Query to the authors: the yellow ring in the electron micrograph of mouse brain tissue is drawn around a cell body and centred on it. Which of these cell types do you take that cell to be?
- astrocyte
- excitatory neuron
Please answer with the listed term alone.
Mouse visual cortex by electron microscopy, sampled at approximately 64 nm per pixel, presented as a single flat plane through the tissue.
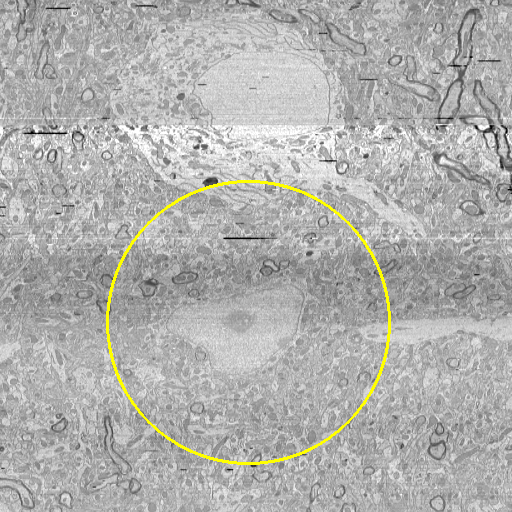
astrocyte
